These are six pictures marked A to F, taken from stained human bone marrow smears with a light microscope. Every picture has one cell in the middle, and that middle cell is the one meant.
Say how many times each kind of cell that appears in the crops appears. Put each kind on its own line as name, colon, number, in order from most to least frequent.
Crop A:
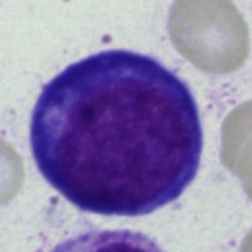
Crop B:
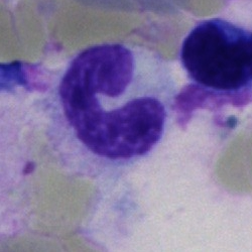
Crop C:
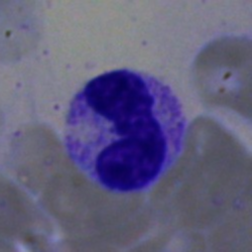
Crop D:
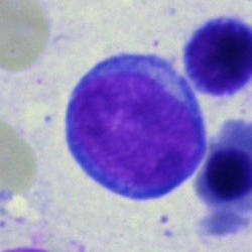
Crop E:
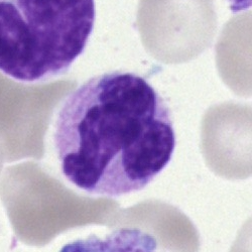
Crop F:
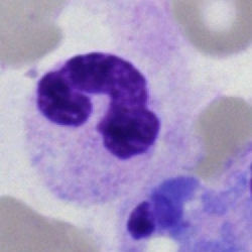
band neutrophil: 4
proerythroblast: 2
